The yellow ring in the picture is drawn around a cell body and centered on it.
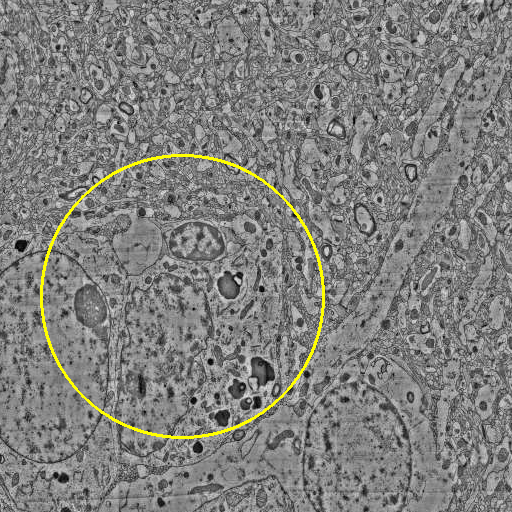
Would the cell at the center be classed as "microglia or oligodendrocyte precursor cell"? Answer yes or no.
No, it belongs to another class.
